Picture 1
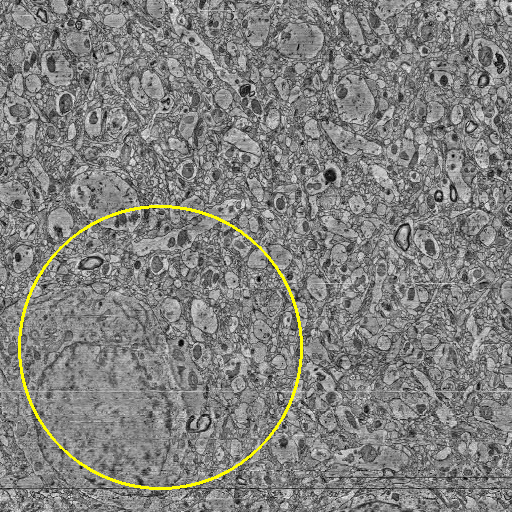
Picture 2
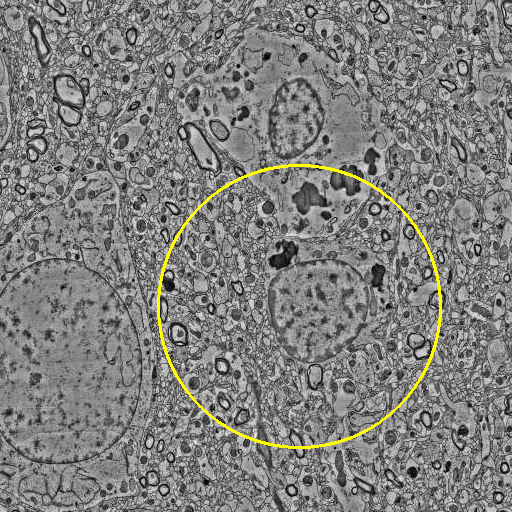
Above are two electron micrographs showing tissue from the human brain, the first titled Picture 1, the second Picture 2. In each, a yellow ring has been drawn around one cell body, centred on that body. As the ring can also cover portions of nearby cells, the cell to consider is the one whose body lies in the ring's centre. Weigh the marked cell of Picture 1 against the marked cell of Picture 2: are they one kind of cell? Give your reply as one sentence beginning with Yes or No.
Yes, the two cells sitting at the ring centres in the pictures are of one kind.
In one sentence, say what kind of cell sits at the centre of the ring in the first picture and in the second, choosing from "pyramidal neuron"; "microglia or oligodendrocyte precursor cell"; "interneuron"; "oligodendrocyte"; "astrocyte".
In each of the two pictures, the ringed cell is an oligodendrocyte.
